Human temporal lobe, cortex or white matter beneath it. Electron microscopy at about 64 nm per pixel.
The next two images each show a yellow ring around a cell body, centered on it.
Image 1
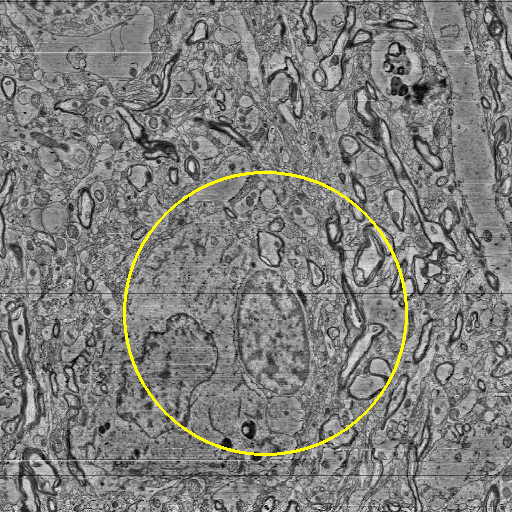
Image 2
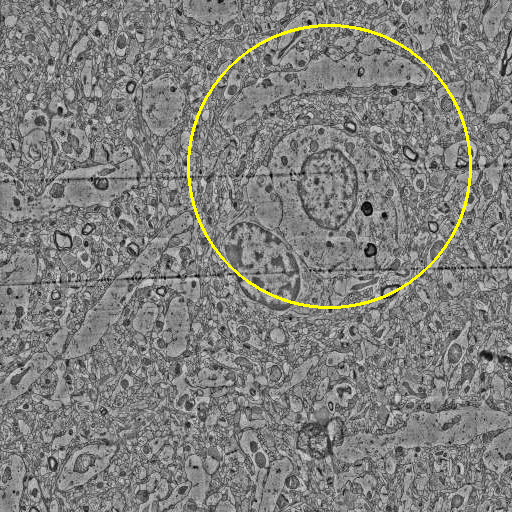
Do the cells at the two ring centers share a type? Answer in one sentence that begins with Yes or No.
No, across the two images the cells at the ring centers are of two types.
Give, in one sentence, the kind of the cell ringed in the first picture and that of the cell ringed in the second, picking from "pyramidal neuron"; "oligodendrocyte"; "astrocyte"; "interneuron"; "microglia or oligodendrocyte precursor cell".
For the first picture it is an oligodendrocyte; for the second, a pyramidal neuron.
